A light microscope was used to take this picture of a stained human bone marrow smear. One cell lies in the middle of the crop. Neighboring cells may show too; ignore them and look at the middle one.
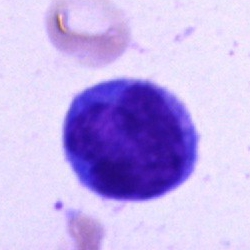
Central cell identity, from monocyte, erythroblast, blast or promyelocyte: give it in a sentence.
The cell found in the middle of this crop is a monocyte.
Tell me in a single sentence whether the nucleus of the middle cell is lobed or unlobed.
The nucleus amounts to one compact mass with a round, oval or kidney-shaped outline.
